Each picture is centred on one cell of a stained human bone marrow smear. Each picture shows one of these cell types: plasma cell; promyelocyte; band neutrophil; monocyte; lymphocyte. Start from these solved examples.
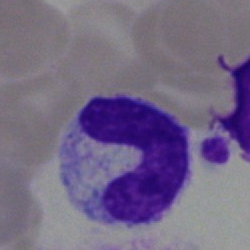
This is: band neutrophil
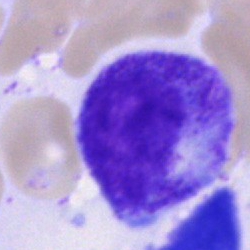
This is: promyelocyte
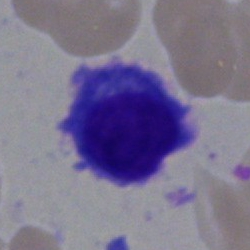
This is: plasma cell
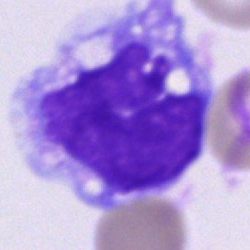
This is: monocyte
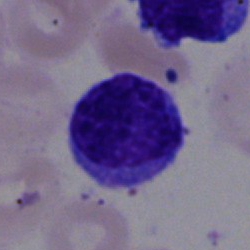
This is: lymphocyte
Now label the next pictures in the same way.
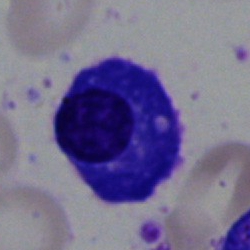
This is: plasma cell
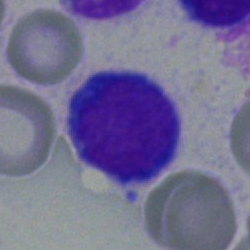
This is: lymphocyte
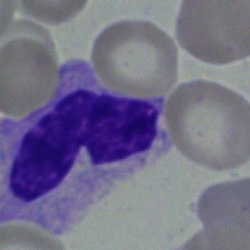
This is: band neutrophil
